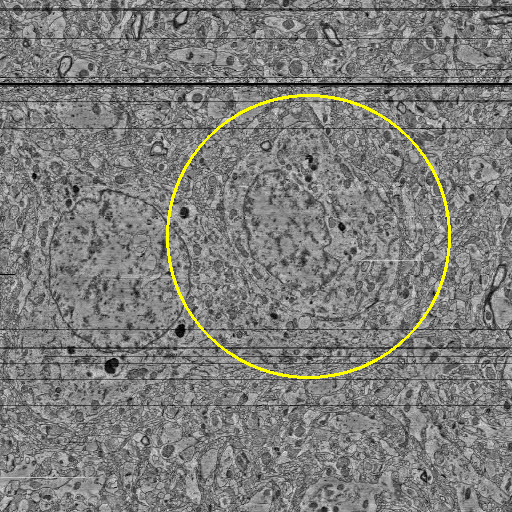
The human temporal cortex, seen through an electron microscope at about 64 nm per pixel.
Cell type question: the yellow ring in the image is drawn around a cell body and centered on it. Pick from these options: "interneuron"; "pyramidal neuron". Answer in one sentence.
The ringed cell at the center is an interneuron.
